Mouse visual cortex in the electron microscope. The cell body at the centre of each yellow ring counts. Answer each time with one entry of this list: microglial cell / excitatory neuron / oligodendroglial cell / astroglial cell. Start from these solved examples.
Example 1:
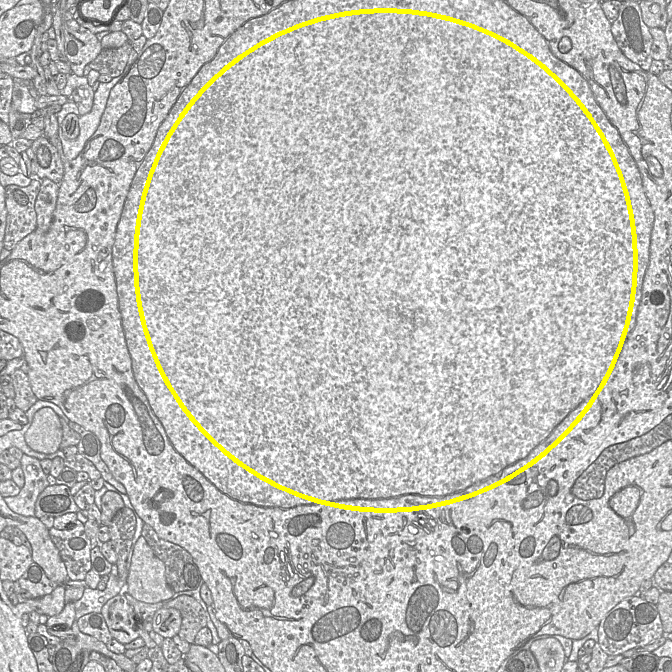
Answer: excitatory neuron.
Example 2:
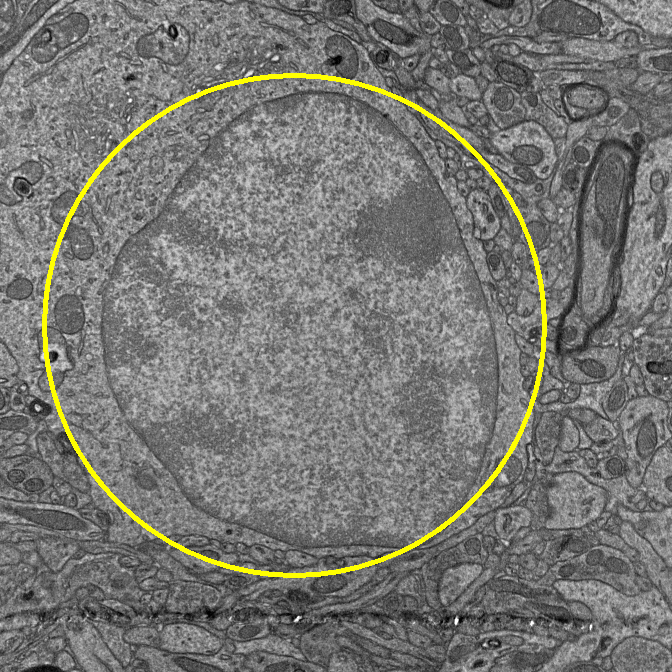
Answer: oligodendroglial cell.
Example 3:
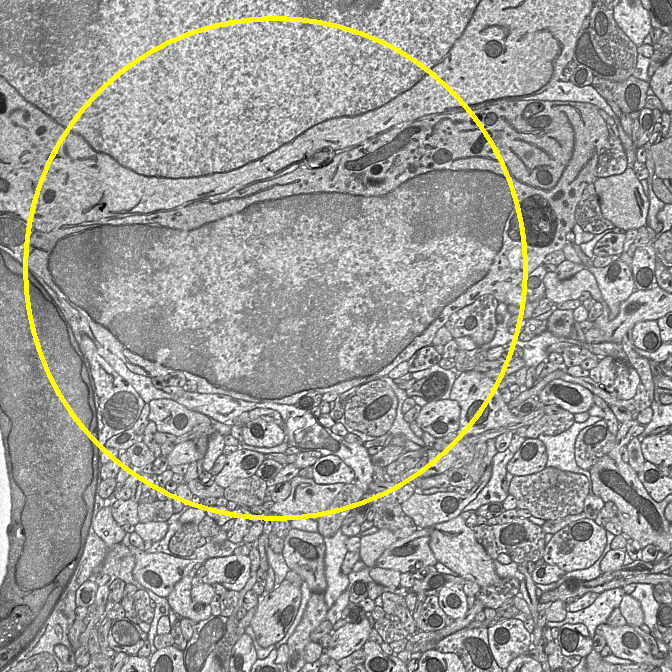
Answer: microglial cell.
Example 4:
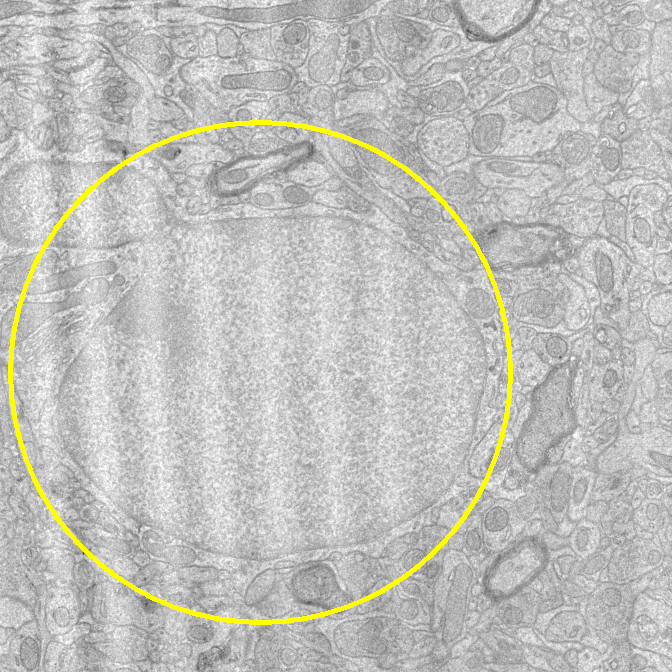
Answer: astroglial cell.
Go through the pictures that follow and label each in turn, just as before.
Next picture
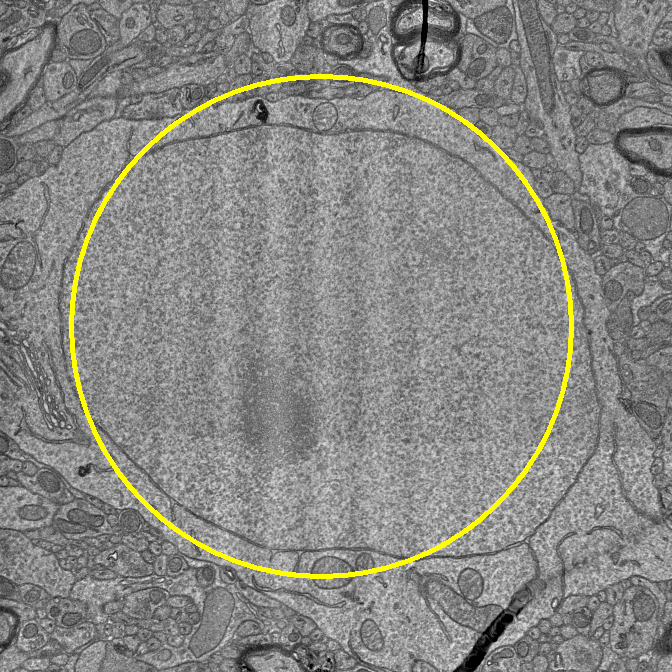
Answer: excitatory neuron.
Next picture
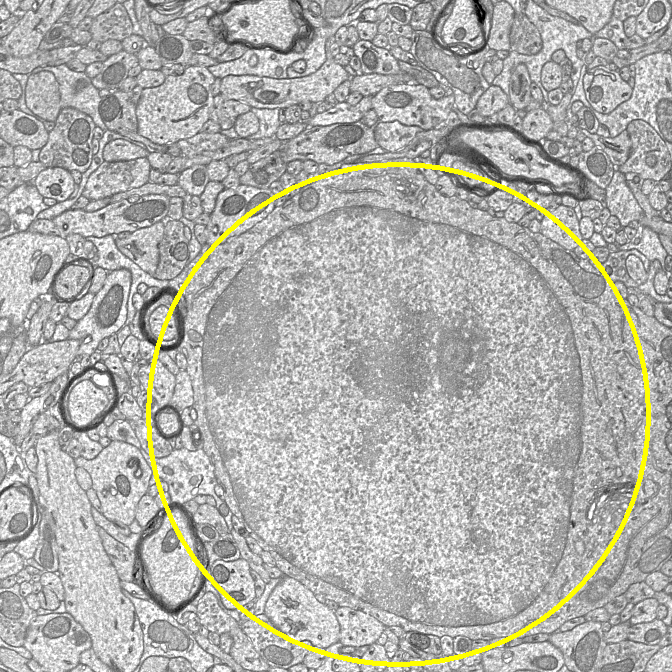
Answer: oligodendroglial cell.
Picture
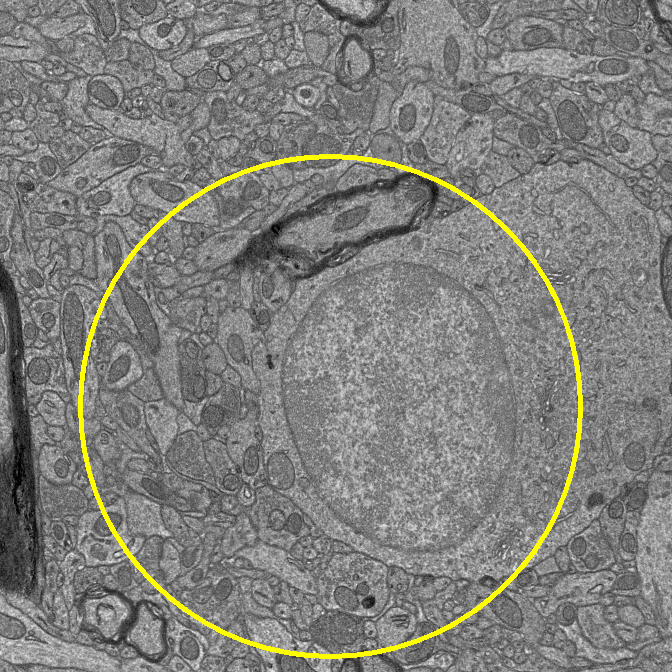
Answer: oligodendroglial cell.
